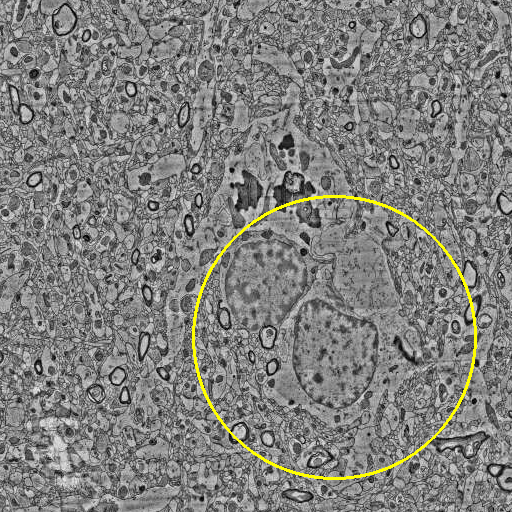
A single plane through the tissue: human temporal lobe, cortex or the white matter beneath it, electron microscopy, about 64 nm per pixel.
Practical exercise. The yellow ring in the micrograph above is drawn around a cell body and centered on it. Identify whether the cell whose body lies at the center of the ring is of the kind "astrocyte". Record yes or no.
yes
